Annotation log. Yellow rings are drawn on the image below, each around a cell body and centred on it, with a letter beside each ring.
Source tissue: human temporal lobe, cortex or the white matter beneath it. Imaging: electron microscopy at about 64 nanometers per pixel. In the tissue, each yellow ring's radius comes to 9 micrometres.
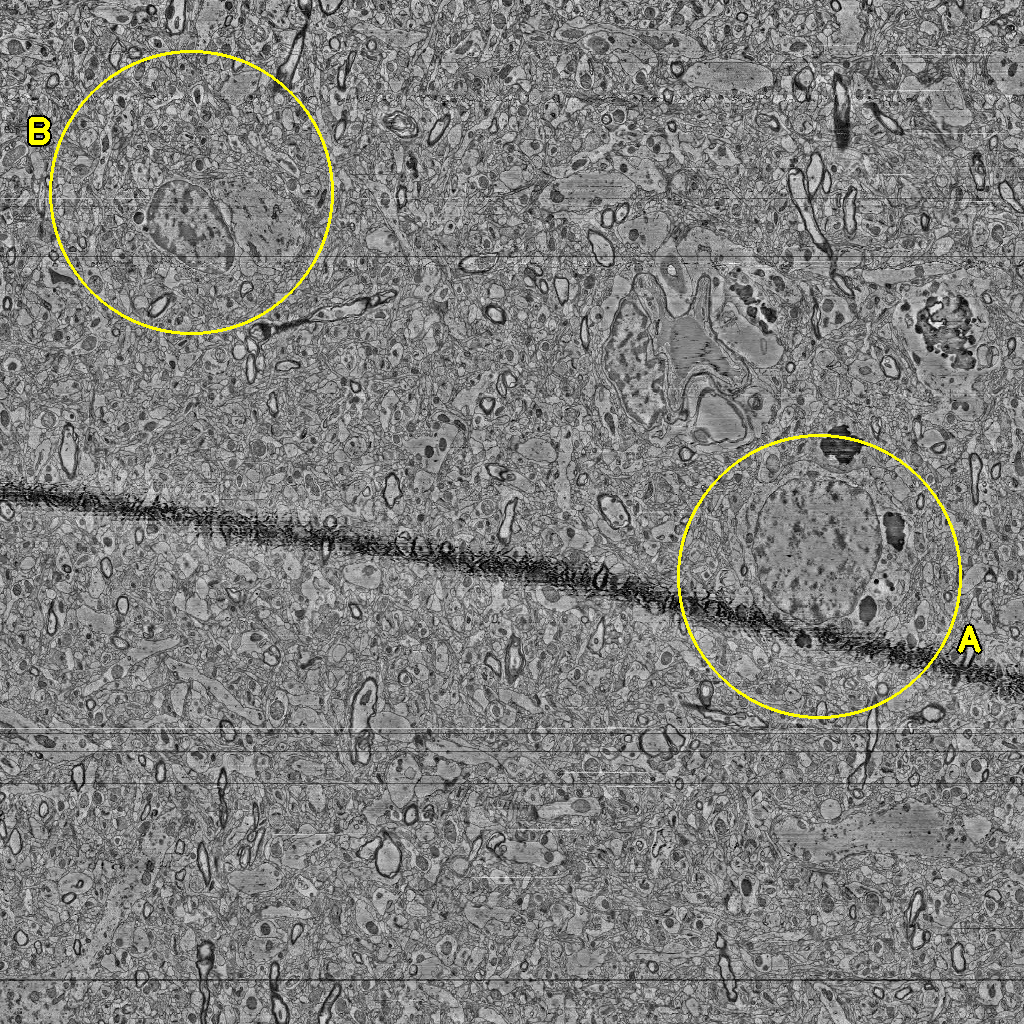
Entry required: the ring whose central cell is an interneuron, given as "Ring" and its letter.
Ring A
